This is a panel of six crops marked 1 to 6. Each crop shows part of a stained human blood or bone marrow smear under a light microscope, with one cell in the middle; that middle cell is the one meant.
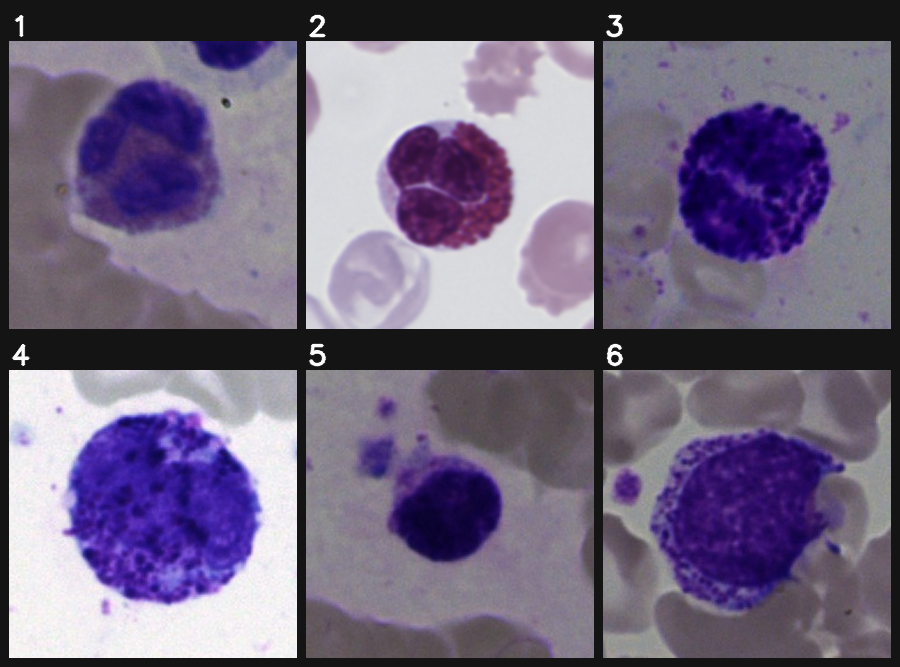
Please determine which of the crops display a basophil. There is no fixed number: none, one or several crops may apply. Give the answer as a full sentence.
Crops 3, 4 and 5 display basophils in the centre of the field.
